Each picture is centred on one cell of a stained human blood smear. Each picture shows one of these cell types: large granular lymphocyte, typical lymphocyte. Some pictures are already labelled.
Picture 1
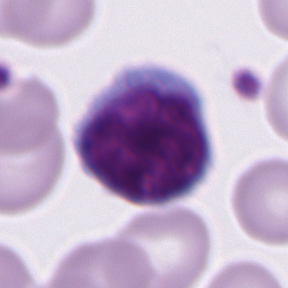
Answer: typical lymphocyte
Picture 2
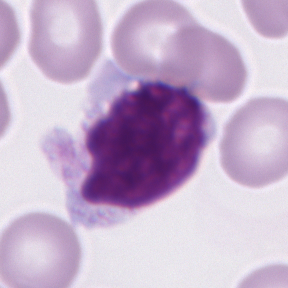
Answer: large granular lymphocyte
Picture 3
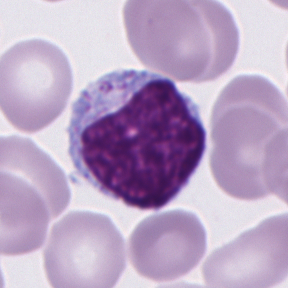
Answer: large granular lymphocyte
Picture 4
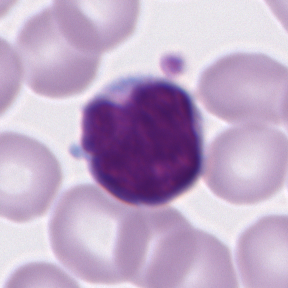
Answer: typical lymphocyte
